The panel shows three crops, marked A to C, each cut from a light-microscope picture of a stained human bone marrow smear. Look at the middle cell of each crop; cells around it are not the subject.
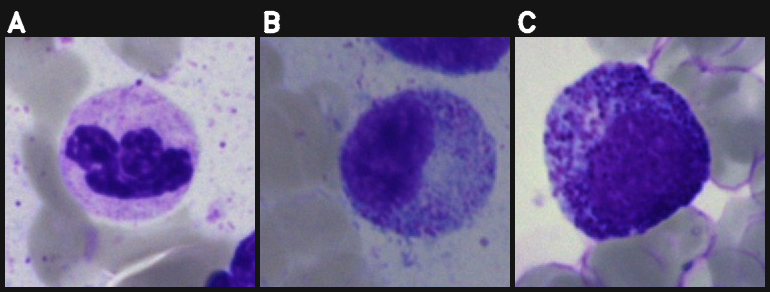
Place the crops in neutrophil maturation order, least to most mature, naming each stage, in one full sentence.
The sequence from earliest to latest maturation stage is crop C (a promyelocyte), crop B (a myelocyte) and crop A (a segmented neutrophil).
